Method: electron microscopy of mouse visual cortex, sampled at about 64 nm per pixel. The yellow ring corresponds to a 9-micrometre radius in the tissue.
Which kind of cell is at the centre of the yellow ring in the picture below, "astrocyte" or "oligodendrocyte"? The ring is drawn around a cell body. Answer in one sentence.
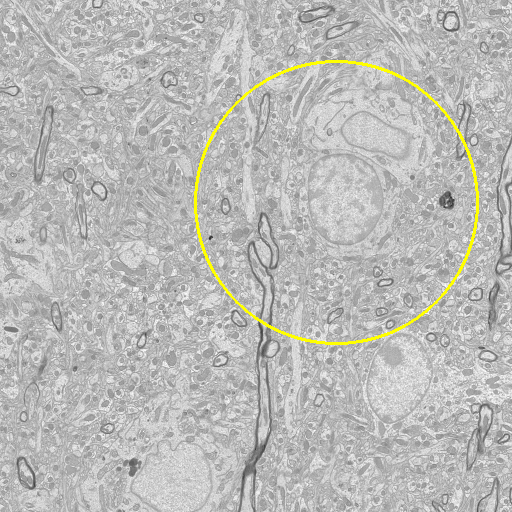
The ring's central cell is an oligodendrocyte.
